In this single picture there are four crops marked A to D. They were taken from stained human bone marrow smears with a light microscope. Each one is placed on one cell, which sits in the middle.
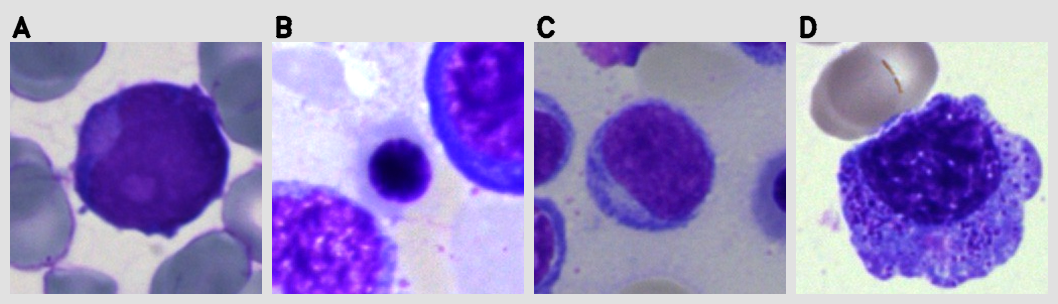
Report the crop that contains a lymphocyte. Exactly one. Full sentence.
The crop that shows a lymphocyte is crop C.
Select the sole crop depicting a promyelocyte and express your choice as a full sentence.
The crop bearing a promyelocyte is crop D.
